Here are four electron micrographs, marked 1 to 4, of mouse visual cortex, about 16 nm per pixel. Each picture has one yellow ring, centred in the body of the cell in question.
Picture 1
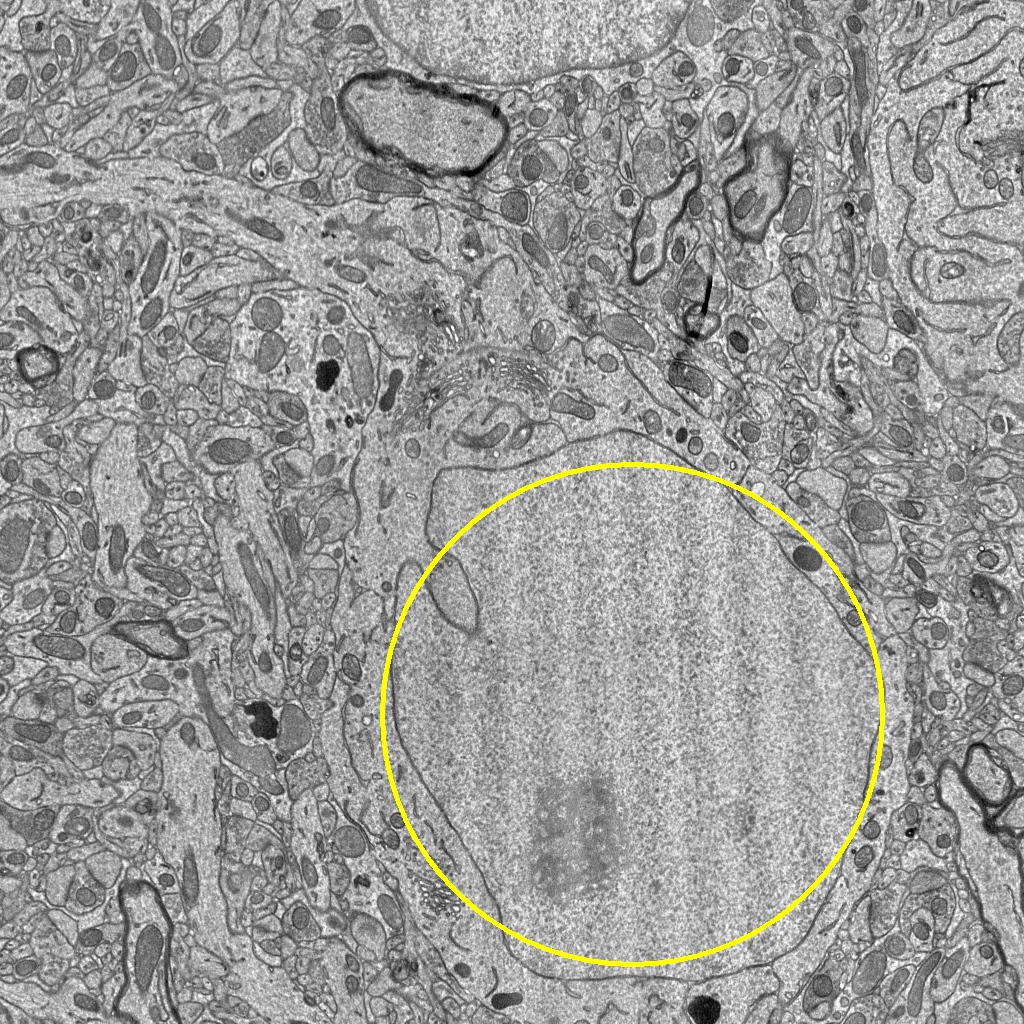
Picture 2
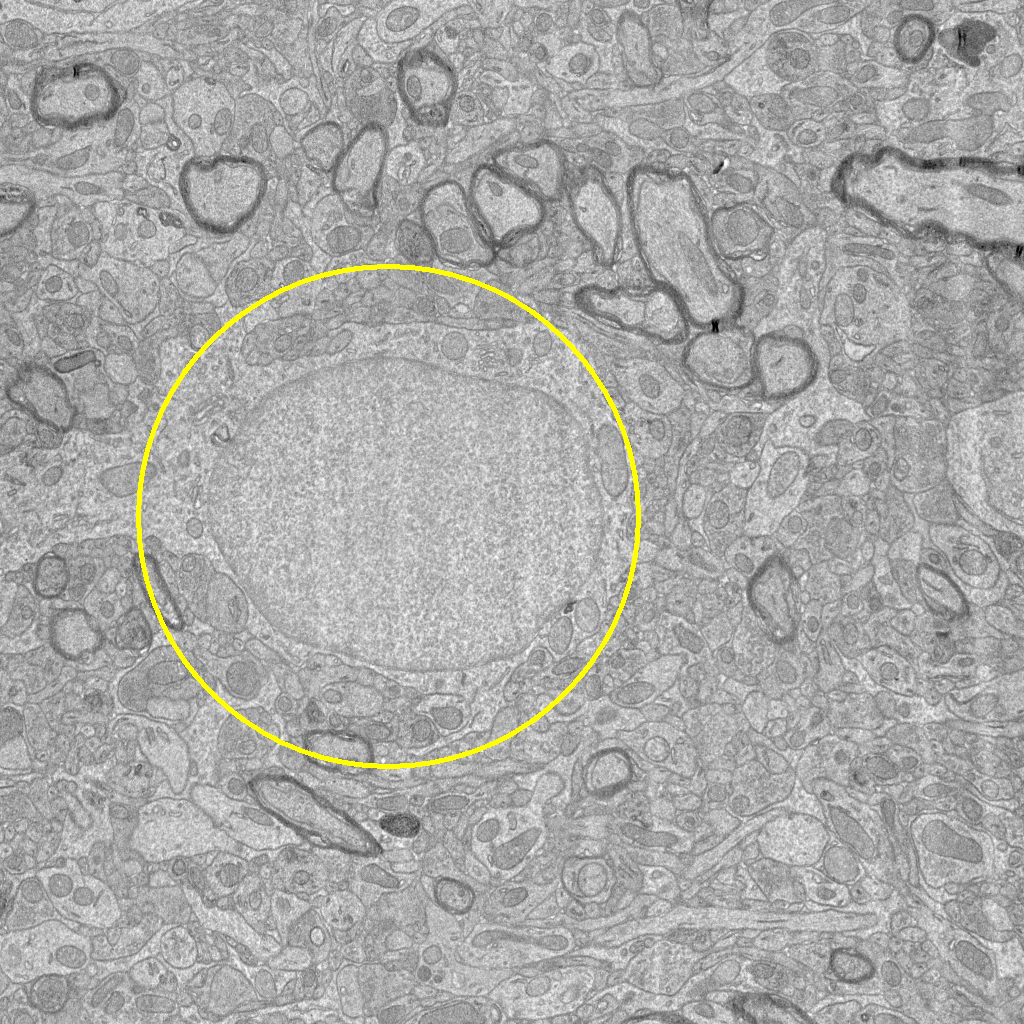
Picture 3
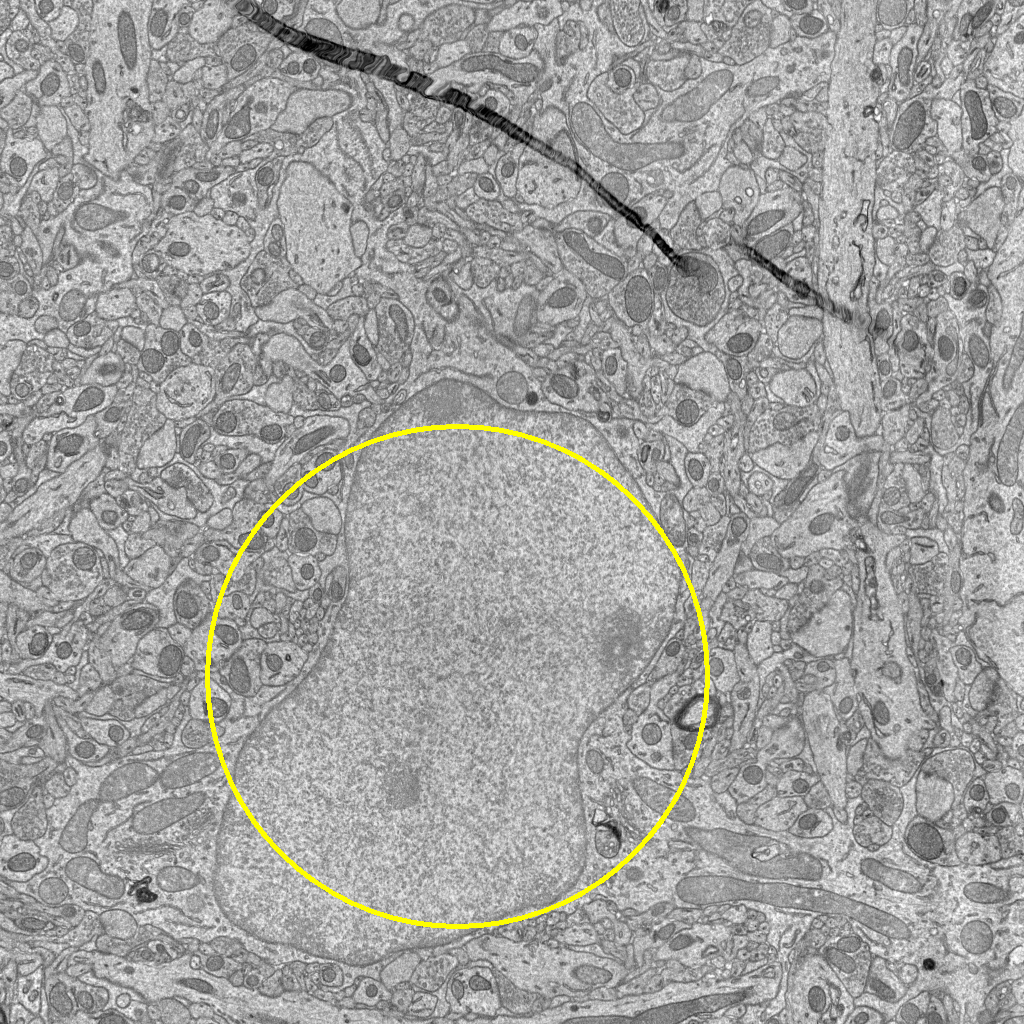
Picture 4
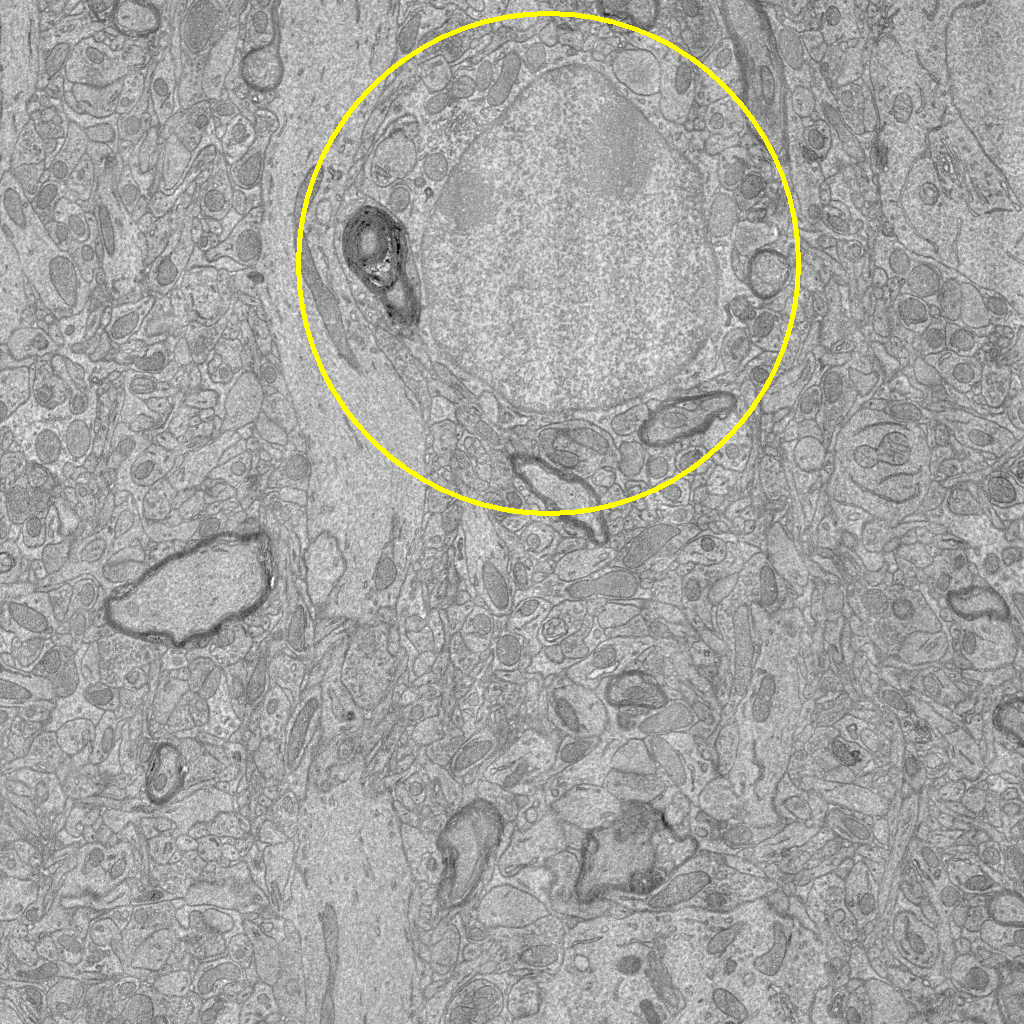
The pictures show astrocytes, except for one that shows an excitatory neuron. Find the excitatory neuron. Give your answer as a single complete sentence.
The excitatory neuron is the one in picture 1.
